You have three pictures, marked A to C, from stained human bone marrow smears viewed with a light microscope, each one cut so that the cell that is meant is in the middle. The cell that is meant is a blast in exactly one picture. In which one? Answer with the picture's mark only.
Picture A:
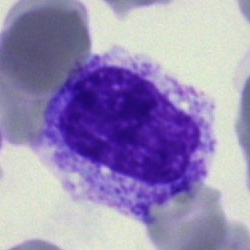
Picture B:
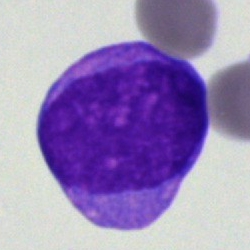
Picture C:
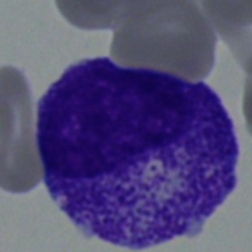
B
